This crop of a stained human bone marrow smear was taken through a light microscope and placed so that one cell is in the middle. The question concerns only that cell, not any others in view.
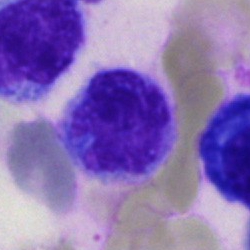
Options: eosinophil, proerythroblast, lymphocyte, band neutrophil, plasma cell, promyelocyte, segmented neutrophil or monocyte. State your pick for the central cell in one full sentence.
For this crop, the cell in the middle is a monocyte.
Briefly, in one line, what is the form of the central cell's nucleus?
In this cell the nucleus is a solitary compact mass, round, oval or kidney-shaped.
